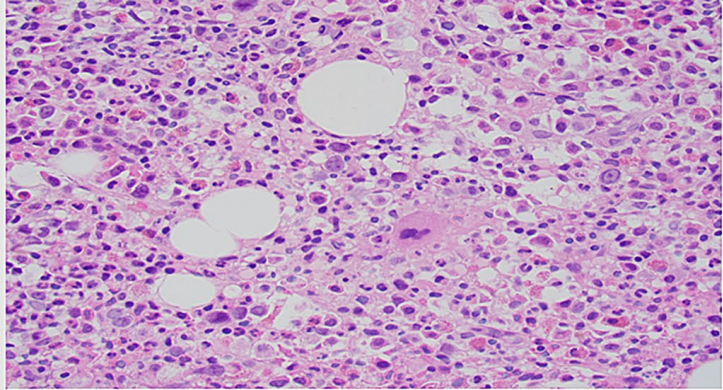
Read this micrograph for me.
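This is a section of bone marrow that is packed with blood-forming cells, leaving only a few round, empty fat spaces. Most of the cells are myeloid cells at different steps of maturation, with round to indented purple nuclei and pink cytoplasm. Near the middle lies a large megakaryocyte, much bigger than its neighbours, with abundant pink cytoplasm and a dark lobed nucleus. Small clusters of dark, round erythroid nuclei are hard to find, and no dense nodules of small lymphocytes are seen.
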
